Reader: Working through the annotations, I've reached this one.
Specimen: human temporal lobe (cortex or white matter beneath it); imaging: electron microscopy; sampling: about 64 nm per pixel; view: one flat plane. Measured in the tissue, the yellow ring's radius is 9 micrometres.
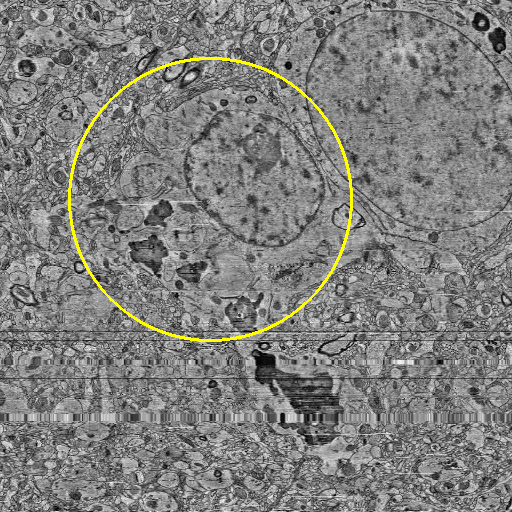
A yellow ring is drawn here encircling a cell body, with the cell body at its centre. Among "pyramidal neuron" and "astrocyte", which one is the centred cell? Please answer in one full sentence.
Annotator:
The cell body at the centre of the yellow ring in this image belongs to an astrocyte.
